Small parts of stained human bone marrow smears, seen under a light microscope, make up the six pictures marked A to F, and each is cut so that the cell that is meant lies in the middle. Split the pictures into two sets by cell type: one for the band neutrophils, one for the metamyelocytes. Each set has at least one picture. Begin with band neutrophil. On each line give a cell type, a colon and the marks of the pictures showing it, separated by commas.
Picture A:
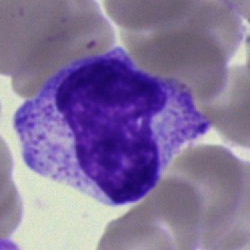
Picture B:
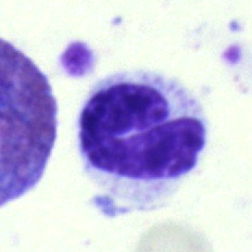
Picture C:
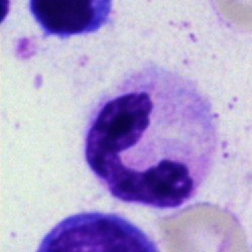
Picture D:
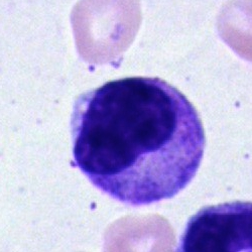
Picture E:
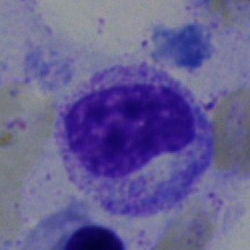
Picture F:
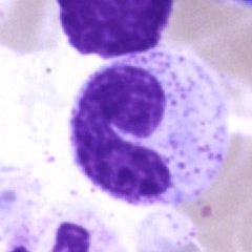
band neutrophil: B, C, F
metamyelocyte: A, D, E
